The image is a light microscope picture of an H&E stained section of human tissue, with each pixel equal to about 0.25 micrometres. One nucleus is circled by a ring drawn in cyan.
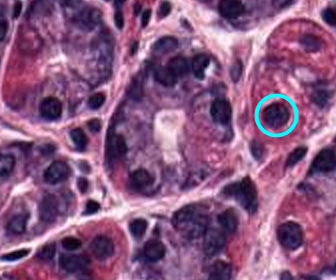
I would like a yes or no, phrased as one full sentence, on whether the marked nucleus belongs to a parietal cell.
Yes, the marked nucleus is identified as that of a parietal cell.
